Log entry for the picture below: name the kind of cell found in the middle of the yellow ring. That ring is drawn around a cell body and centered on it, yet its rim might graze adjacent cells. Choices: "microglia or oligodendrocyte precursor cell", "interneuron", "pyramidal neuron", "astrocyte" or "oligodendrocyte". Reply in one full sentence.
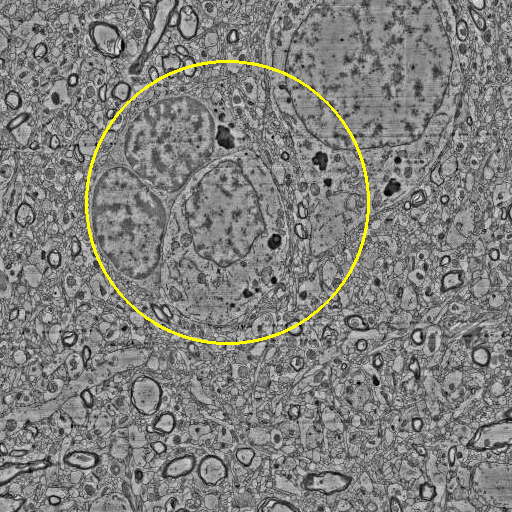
The cell in the middle of the yellow ring in this picture is a pyramidal neuron.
